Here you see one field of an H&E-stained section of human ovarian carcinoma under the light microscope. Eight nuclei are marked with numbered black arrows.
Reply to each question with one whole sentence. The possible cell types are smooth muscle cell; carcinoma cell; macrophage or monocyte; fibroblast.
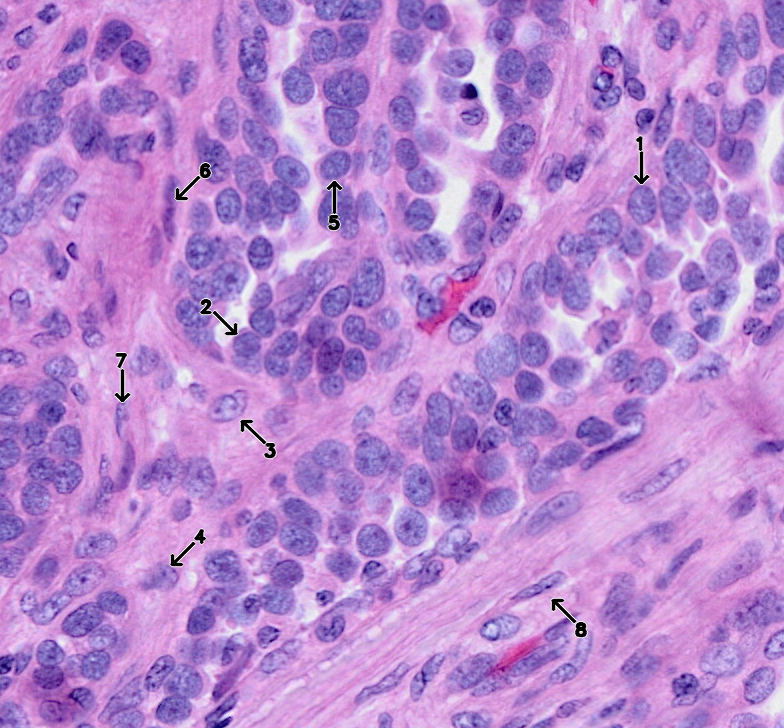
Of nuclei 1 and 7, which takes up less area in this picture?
Nucleus 7 covers less area, with nucleus 1 about 2.5 times as large.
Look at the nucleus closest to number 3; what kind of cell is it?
The nearest nucleus to number 3 belongs to a macrophage or monocyte.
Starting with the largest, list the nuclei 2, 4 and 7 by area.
The nuclei rank 4, 2, 7, from largest to smallest.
